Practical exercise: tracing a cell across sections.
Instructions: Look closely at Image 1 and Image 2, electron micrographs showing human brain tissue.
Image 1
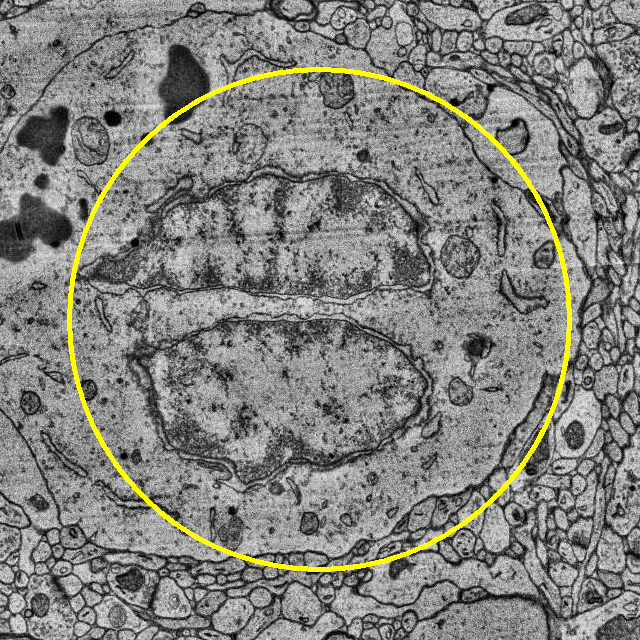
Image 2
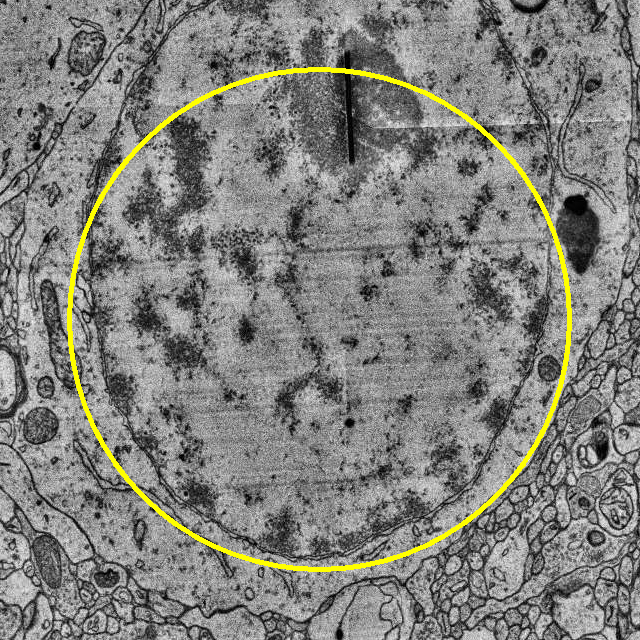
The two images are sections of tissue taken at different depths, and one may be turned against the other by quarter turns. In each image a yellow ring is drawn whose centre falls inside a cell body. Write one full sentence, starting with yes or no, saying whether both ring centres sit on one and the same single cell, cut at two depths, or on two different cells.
No, the yellow rings highlight two different cells in the tissue.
